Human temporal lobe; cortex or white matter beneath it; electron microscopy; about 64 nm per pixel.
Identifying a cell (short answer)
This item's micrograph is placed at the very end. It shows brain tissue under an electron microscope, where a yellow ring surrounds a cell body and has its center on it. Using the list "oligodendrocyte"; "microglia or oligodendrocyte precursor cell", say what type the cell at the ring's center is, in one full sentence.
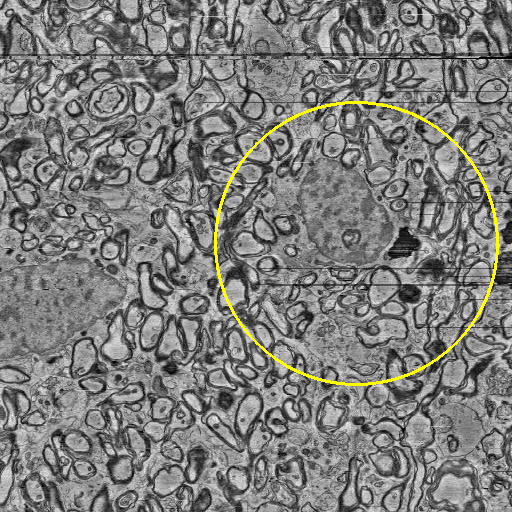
This picture shows an oligodendrocyte at the center of the yellow ring drawn on it.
